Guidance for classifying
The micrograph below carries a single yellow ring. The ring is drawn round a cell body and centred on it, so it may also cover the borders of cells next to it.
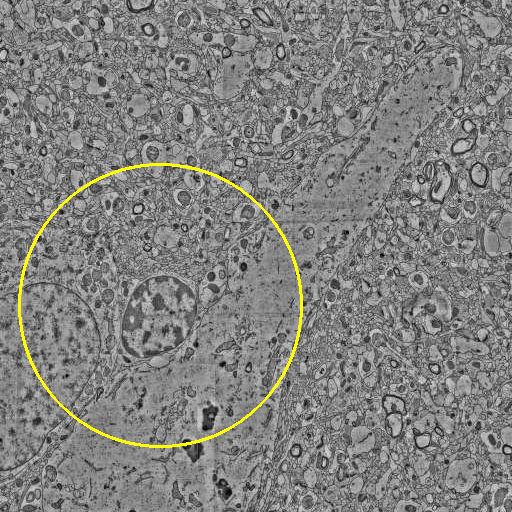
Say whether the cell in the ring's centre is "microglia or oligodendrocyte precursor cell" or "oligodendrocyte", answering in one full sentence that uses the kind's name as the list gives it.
Within the yellow ring, a microglial cell or oligodendrocyte precursor cell is the cell whose body sits at the centre.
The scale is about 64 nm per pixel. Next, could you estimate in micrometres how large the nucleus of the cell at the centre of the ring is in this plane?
In this plane the nucleus measures roughly 6 by 4 micrometers.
